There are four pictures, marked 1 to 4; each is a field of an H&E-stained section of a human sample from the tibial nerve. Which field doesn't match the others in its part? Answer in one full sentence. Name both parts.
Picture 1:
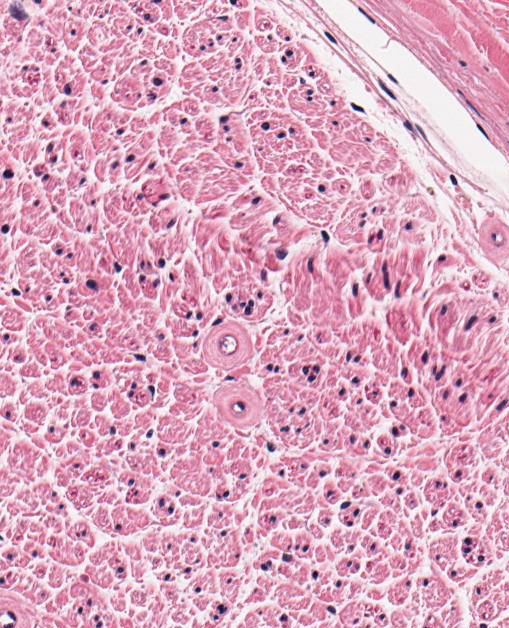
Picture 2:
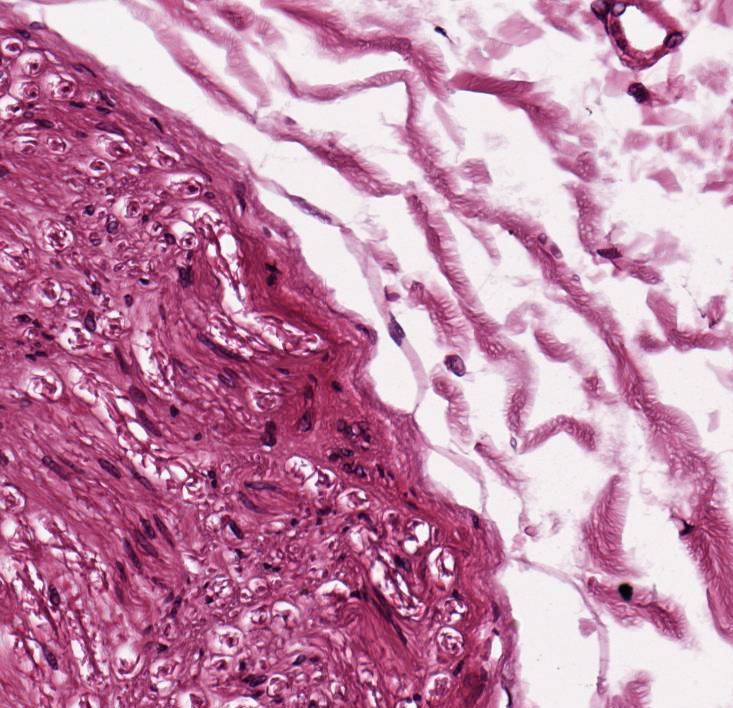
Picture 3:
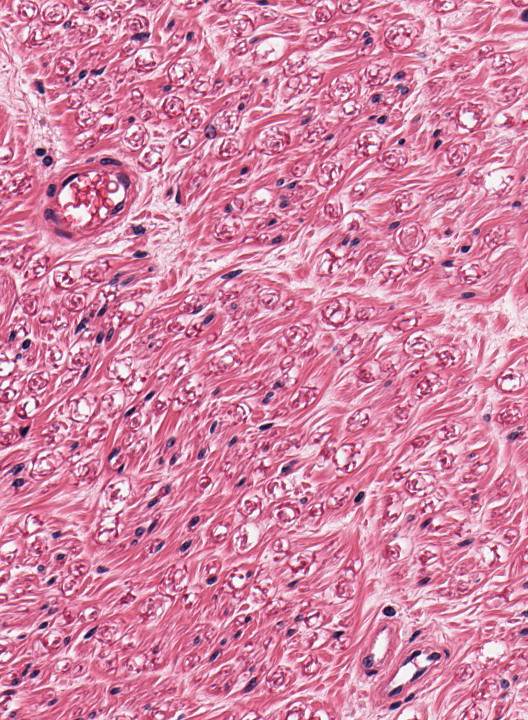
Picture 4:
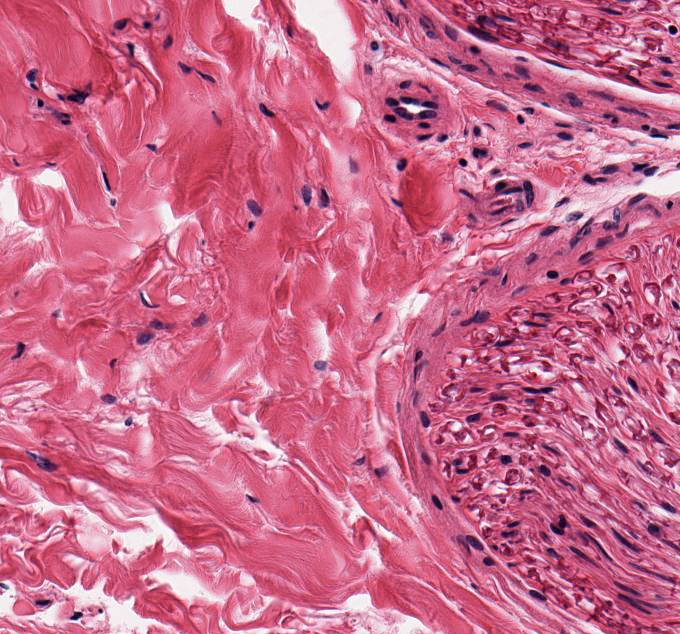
Unlike the rest, which mainly show nerve fascicles, picture 4 mainly shows the epineurium.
